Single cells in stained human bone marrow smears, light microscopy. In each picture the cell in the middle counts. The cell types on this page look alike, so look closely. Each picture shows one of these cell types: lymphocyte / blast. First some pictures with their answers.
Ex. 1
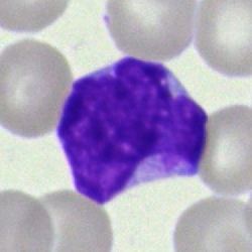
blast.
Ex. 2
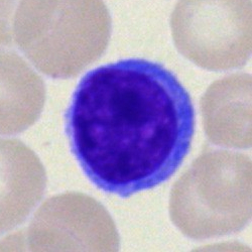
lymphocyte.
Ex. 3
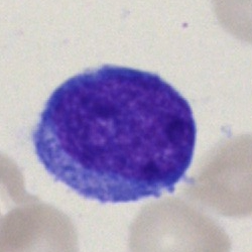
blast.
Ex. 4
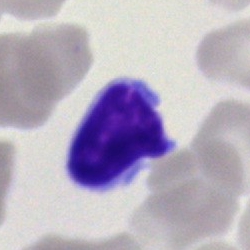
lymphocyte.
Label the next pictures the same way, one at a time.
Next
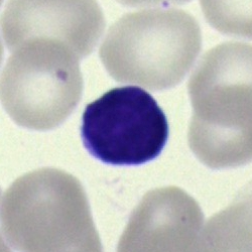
lymphocyte.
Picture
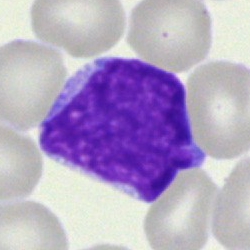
blast.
